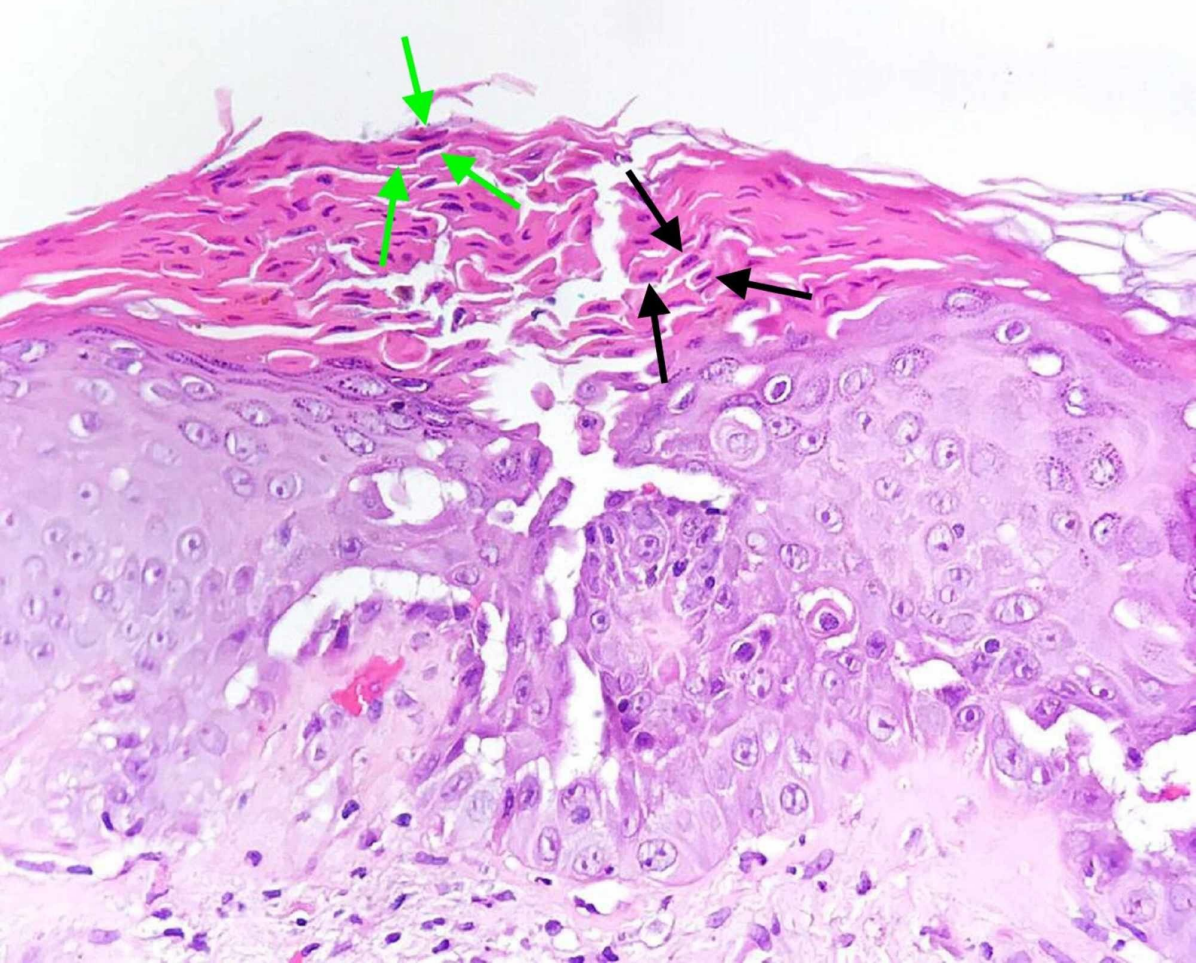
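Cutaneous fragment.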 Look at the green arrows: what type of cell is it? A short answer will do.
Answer: grains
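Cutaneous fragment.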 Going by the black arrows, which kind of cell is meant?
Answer: corps ronds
